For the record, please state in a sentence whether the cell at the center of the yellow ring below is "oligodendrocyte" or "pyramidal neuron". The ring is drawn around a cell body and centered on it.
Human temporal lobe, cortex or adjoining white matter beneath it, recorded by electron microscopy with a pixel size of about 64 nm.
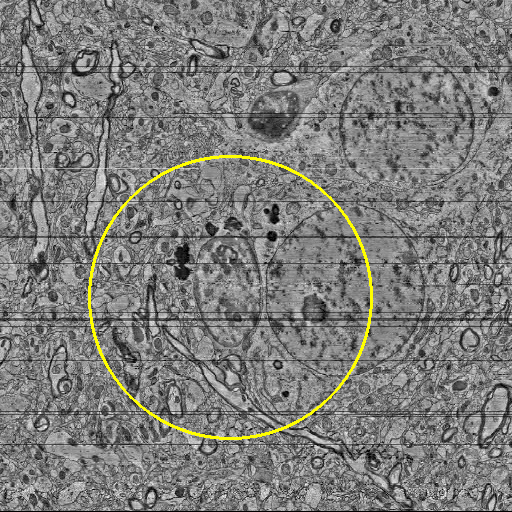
The cell at the ring's center is an oligodendrocyte.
